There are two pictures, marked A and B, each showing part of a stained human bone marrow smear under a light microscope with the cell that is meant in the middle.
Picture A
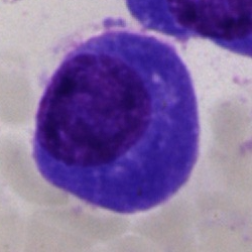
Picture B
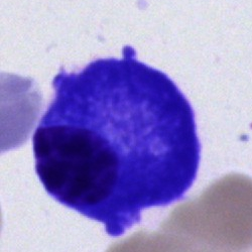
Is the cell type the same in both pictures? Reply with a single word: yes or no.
yes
